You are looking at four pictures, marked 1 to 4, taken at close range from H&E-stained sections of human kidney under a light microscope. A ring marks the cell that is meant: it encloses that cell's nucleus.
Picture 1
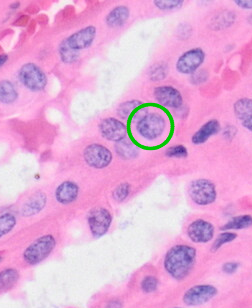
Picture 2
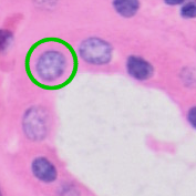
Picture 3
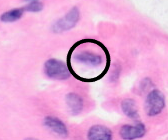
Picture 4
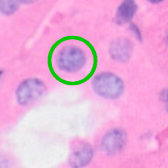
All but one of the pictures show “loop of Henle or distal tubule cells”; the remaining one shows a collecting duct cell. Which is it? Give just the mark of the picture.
1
